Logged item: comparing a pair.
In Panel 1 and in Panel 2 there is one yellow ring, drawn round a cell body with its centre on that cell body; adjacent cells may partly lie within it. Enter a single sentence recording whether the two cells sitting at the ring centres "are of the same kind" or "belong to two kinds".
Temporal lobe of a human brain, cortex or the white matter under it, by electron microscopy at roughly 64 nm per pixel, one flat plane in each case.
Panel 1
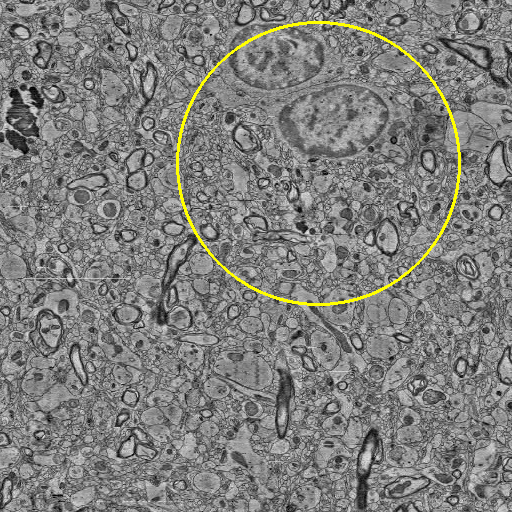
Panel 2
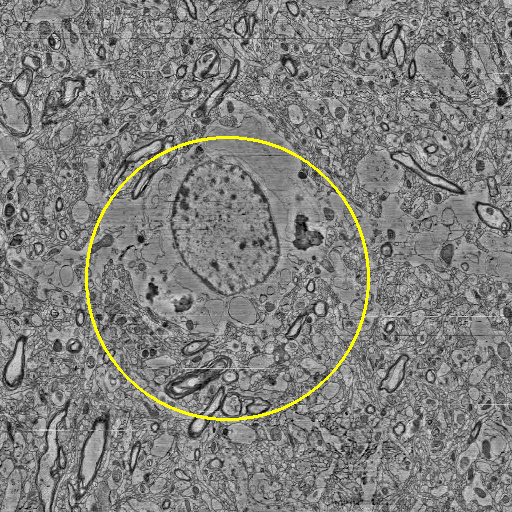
Logged: the cells centred in the rings of Panel 1 and Panel 2 belong to two kinds.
